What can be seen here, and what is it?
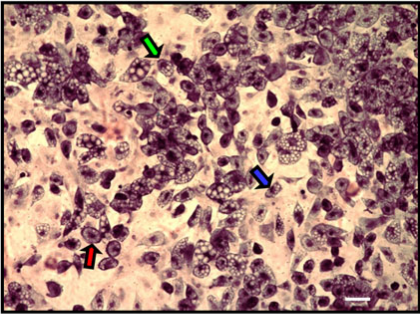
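This is a culture of differentiated adipocytes seen by brightfield microscopy, crowded on a pale background. Many cells are small with densely purple-stained cytoplasm and a dark nucleus, while others contain several round, clear lipid droplets. The nuclei vary in position, some central and some shifted towards the cell margin.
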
